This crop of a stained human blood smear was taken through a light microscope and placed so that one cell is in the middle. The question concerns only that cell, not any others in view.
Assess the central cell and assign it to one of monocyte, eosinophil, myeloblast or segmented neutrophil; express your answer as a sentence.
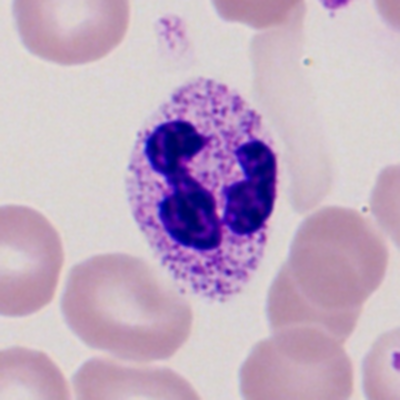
Within this crop, a segmented neutrophil occupies the central position.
